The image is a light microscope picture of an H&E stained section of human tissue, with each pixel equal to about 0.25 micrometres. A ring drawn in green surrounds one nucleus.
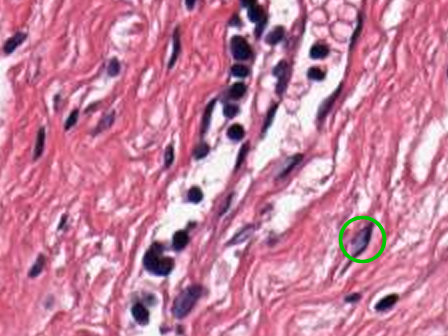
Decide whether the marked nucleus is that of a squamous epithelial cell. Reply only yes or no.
no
